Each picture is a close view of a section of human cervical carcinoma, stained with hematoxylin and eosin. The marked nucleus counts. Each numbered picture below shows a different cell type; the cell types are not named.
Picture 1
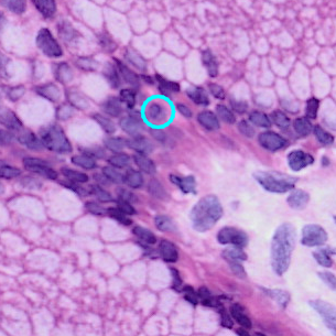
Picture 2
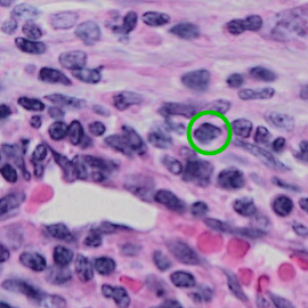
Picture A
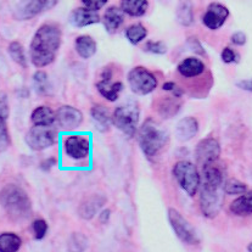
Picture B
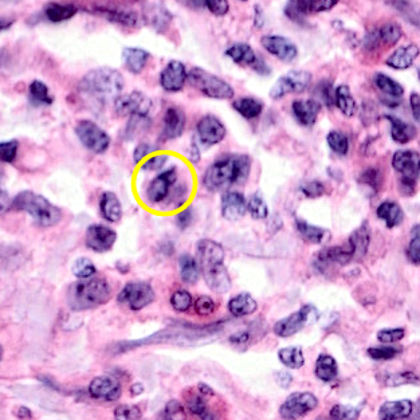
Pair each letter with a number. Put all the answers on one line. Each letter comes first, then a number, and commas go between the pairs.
A 2, B 2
